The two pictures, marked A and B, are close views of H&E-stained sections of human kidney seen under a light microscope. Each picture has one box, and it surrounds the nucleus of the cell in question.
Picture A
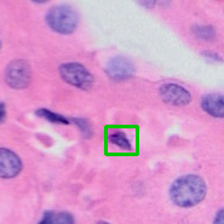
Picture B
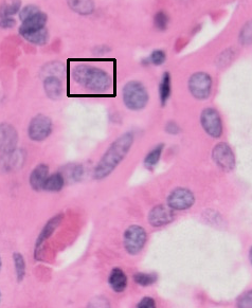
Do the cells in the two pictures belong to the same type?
no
